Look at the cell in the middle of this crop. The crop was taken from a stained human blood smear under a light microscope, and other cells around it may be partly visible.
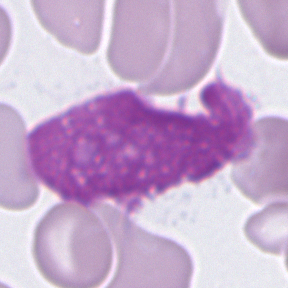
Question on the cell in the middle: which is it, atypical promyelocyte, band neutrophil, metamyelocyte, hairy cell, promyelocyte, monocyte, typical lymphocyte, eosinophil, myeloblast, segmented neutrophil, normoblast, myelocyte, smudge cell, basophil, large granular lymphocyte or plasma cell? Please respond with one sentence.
The cell featured at the centre of this crop is a smudge cell.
